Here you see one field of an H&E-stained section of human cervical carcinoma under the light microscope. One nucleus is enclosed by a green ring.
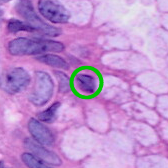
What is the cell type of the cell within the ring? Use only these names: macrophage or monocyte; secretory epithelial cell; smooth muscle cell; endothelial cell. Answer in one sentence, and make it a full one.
Recorded by type, the cell within the ring is a secretory epithelial cell.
